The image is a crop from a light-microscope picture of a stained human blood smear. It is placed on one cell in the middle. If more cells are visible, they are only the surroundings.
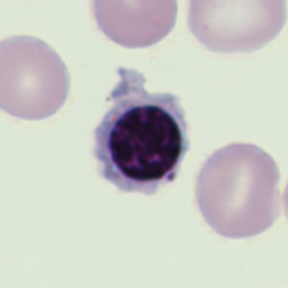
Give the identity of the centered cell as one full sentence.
In this crop, the cell at the very middle is an erythroblast.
